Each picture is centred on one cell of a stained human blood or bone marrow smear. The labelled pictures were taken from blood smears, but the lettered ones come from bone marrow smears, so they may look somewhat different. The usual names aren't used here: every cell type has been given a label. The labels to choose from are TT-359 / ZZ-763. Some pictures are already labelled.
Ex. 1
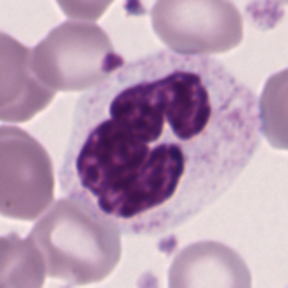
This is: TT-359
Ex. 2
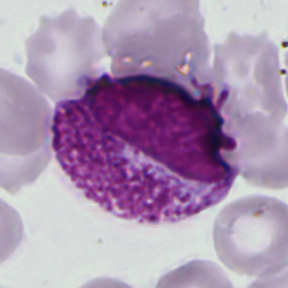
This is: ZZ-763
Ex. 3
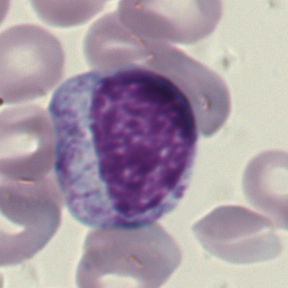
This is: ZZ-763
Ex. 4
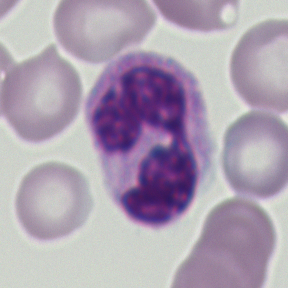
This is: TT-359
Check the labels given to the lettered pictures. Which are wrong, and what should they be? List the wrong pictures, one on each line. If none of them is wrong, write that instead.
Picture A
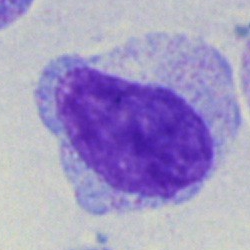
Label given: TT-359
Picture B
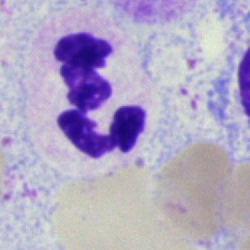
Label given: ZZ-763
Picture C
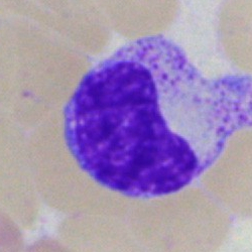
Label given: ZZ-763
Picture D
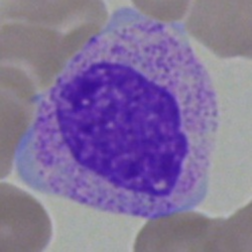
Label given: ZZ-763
Wrong: A (TT-359); correct: ZZ-763
Wrong: B (ZZ-763); correct: TT-359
